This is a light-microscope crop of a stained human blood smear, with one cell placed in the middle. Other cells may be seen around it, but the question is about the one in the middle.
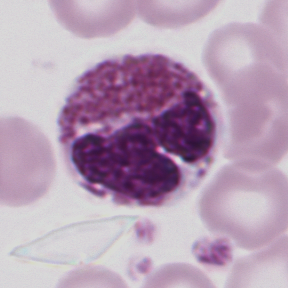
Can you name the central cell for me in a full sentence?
The middle of this crop holds an eosinophil.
